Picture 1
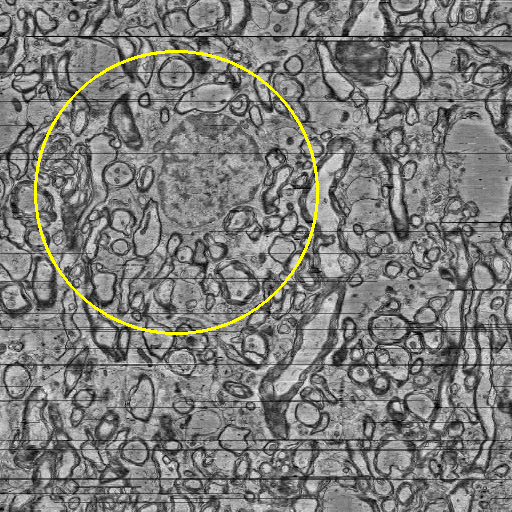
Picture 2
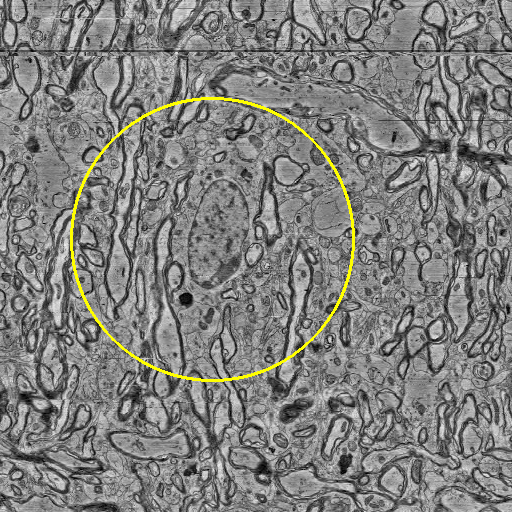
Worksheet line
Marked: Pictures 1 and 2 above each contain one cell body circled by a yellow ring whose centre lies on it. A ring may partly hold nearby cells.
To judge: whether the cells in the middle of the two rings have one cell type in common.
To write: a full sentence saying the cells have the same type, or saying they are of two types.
The cells in the middle of the rings in Picture 1 and Picture 2 are of two types.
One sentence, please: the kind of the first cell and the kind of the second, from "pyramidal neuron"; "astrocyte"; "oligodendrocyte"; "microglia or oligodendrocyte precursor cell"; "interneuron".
The ring in the first picture surrounds an oligodendrocyte, and the ring in the second surrounds a microglial cell or oligodendrocyte precursor cell.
